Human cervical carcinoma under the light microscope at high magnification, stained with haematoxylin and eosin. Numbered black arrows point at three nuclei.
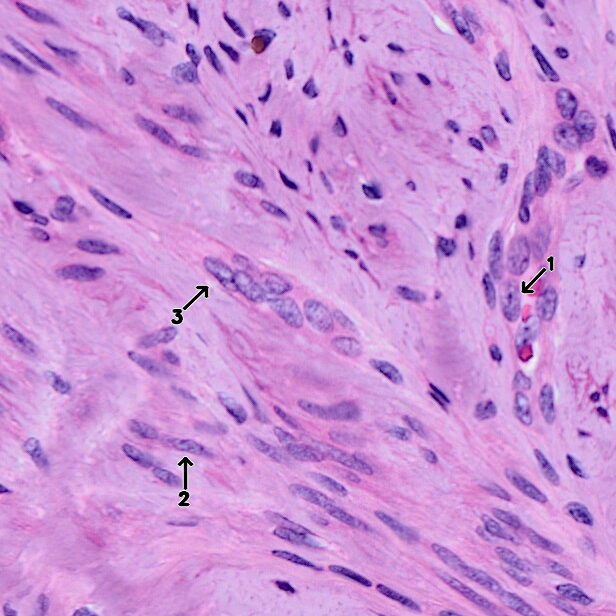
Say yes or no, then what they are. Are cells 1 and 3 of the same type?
Yes, cells 1 and 3 are both endothelial cells.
